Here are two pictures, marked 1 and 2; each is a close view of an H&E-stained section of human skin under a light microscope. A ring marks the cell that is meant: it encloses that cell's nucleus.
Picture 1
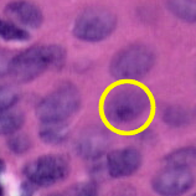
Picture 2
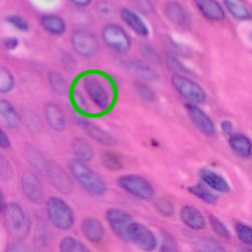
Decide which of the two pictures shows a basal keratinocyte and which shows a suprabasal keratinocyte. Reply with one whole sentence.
In picture 1 the cell is a suprabasal keratinocyte; in picture 2, a basal keratinocyte.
